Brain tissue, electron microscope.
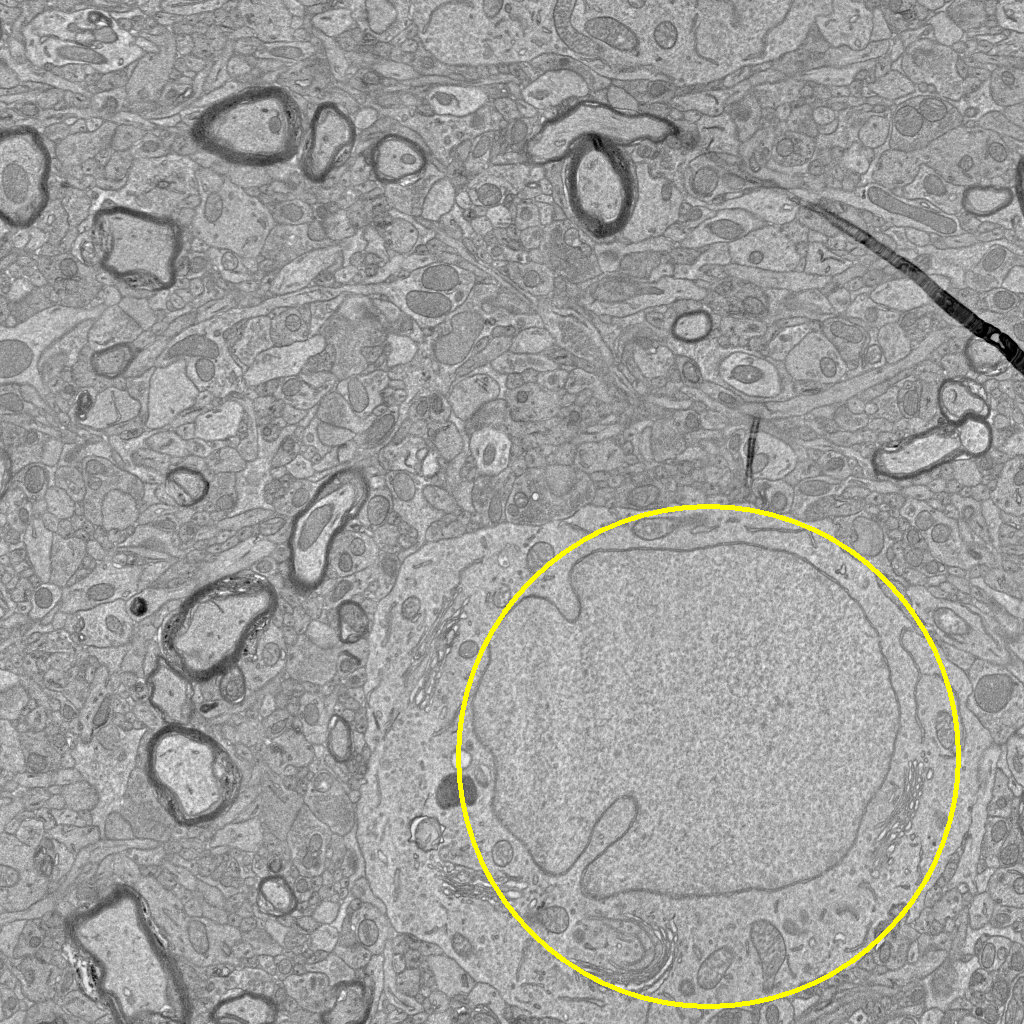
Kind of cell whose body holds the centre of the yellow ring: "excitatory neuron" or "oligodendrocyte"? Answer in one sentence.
The ring's centre falls on an excitatory neuron.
